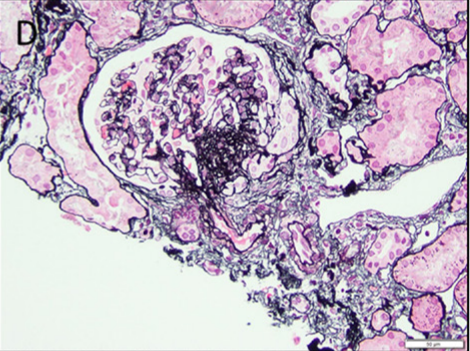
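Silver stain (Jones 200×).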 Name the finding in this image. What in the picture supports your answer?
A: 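The glomerulus has a dense black-staining area of matrix at one side of the tuft. This area lies where the tuft meets the vascular pole. Elsewhere the capillary loops are open.
Conclusion: segmental sclerosis in the perihilar region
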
